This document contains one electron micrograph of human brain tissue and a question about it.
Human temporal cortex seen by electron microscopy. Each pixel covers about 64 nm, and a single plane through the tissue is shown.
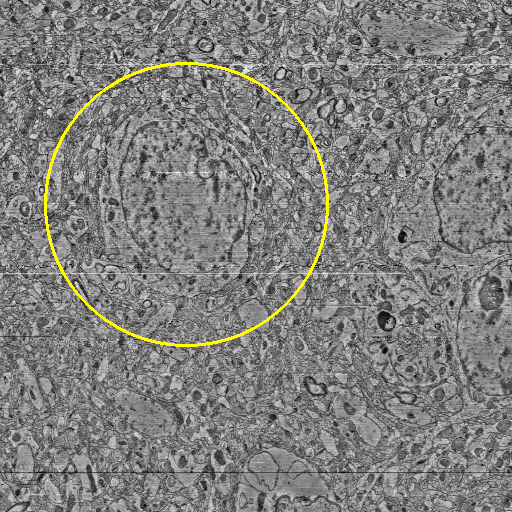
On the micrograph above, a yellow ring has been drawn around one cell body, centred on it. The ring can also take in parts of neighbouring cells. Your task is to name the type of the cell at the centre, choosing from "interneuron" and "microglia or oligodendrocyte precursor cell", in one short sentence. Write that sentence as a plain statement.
Here the ring is centred on an interneuron.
